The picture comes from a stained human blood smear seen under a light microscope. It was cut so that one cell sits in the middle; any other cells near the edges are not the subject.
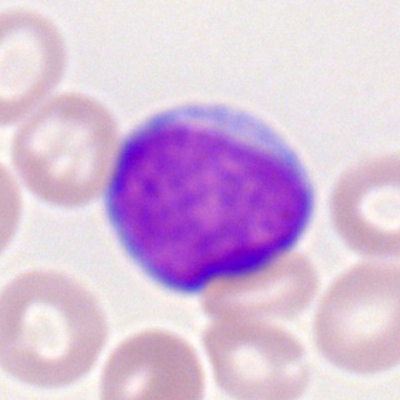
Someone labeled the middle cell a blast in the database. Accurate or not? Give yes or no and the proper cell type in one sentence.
Yes, the cell that lies centrally is a blast.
